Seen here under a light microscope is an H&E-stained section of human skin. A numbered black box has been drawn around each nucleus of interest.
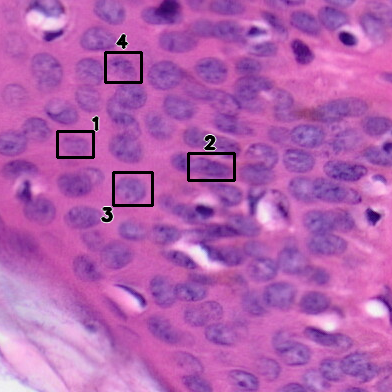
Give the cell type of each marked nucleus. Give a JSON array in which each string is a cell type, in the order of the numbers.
["suprabasal keratinocyte", "basal keratinocyte", "suprabasal keratinocyte", "suprabasal keratinocyte"]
